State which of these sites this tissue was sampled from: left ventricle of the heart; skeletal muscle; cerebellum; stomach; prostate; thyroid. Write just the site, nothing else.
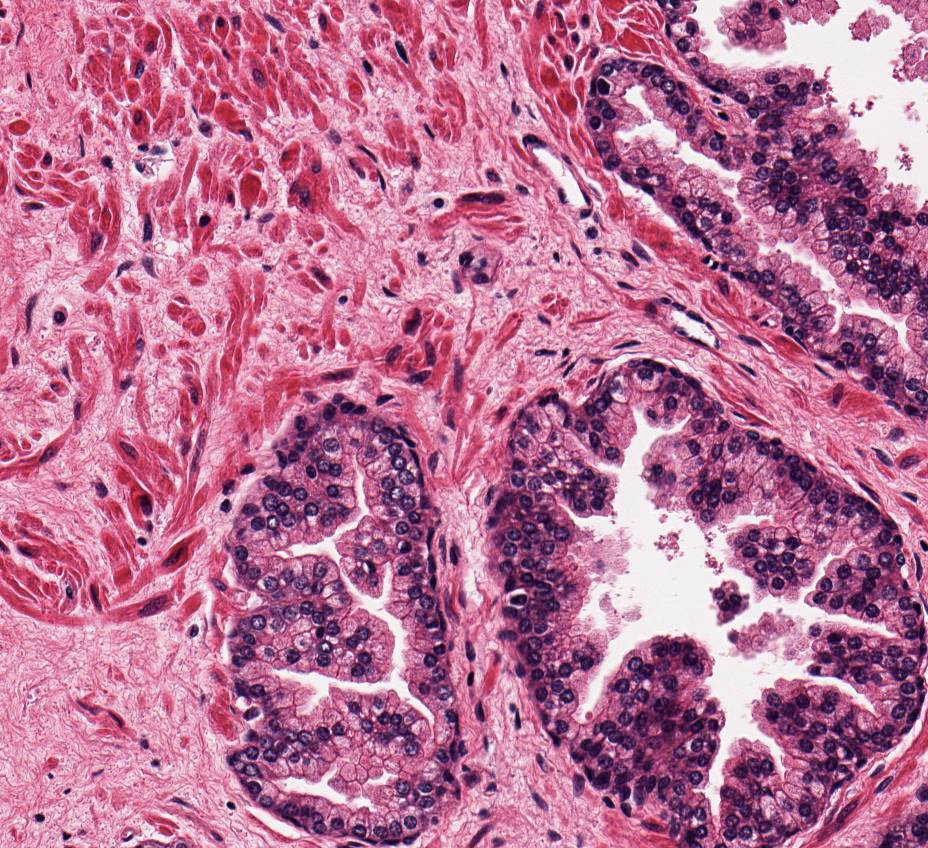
prostate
